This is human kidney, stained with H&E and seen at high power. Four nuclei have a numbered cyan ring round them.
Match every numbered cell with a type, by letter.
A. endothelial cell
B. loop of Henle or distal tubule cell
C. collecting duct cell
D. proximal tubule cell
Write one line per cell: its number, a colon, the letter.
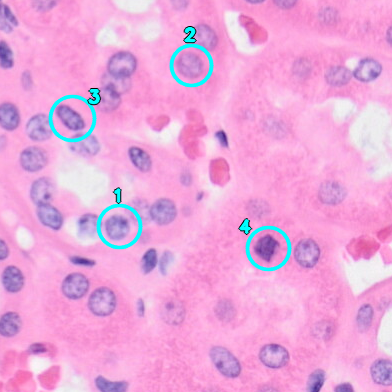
1: C
2: D
3: C
4: D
